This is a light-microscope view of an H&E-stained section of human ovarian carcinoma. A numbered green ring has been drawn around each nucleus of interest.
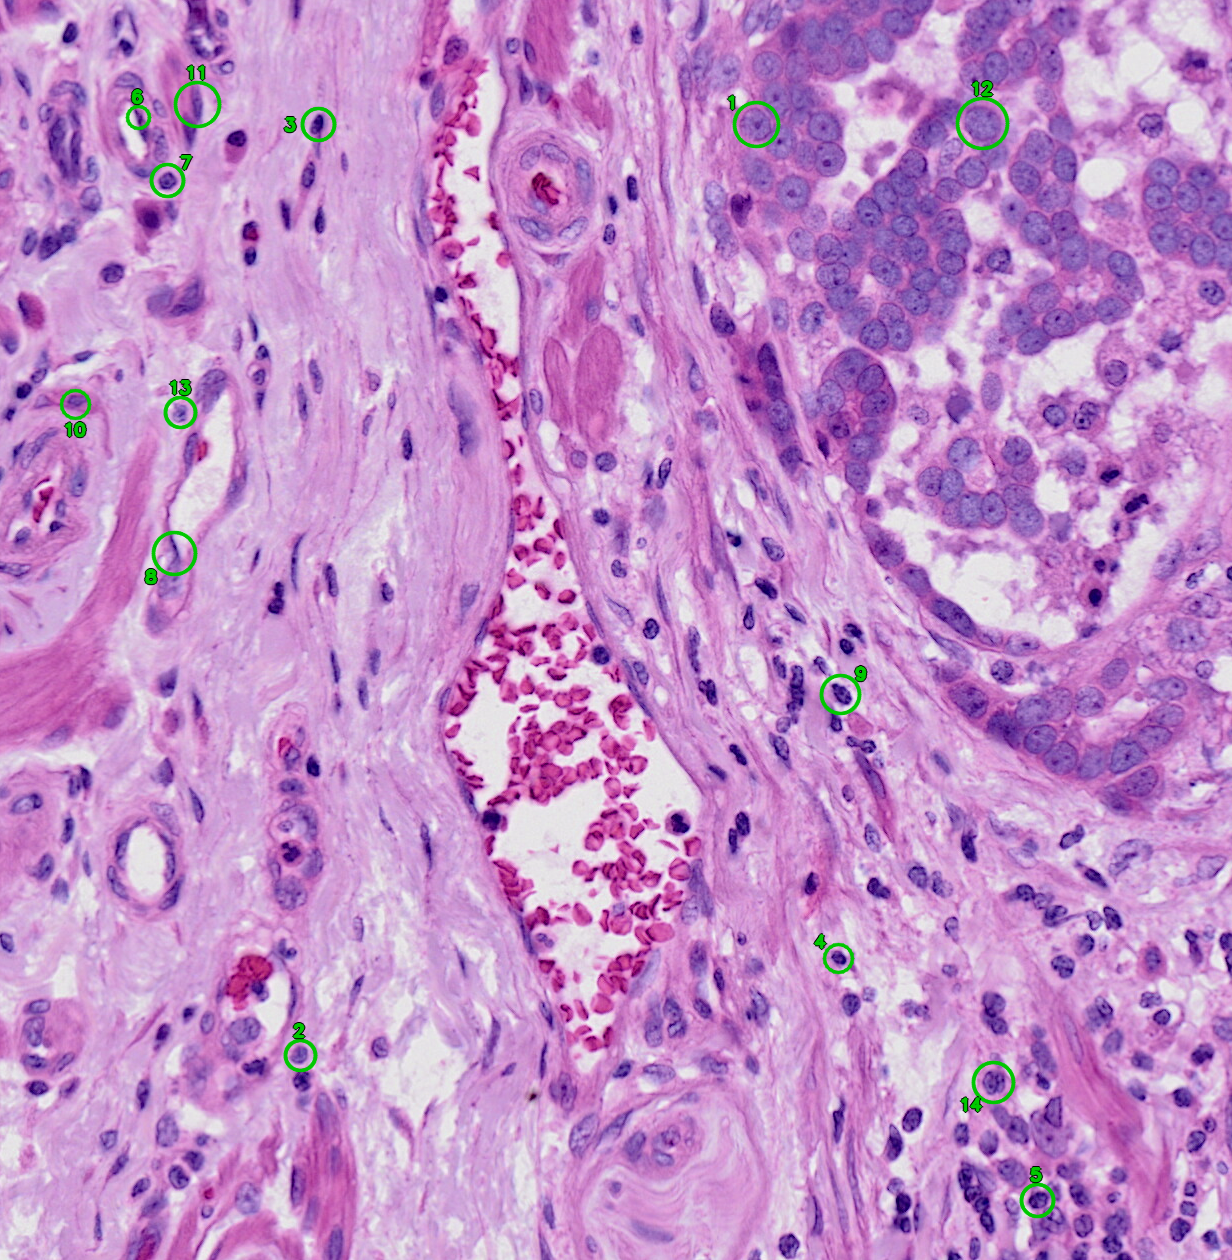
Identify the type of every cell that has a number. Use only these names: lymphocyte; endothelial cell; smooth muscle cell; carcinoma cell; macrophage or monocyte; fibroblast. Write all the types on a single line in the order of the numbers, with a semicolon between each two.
carcinoma cell; lymphocyte; lymphocyte; lymphocyte; lymphocyte; endothelial cell; lymphocyte; endothelial cell; lymphocyte; smooth muscle cell; smooth muscle cell; carcinoma cell; lymphocyte; lymphocyte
